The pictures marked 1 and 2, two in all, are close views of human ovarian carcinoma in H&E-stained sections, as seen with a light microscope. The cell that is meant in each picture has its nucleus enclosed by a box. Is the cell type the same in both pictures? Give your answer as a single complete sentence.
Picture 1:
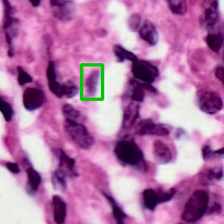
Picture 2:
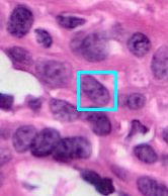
No; the cell in picture 1 is a “macrophage or monocyte”, while the one in picture 2 is a carcinoma cell.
